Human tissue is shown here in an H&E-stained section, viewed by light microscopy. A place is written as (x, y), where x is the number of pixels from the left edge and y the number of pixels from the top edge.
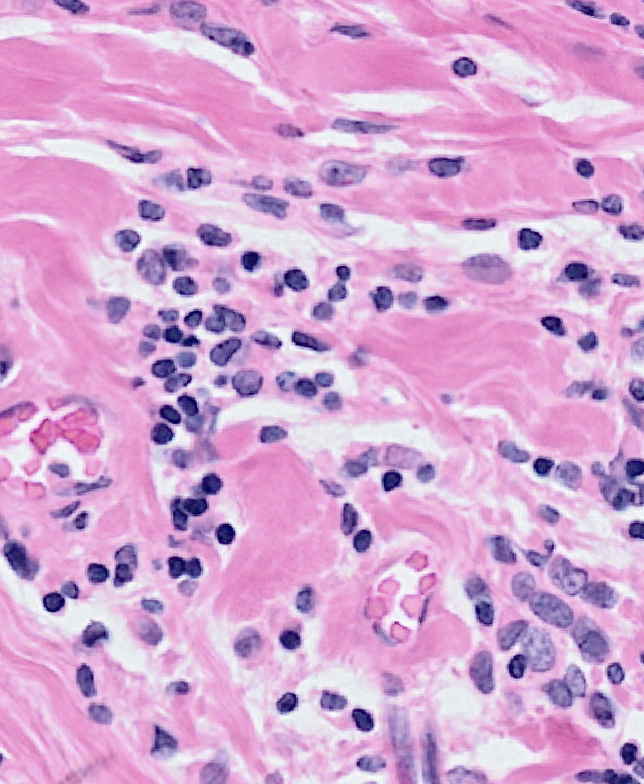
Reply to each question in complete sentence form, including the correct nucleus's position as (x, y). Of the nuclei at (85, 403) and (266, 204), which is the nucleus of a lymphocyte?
The nucleus located at (266, 204) is the one held within a lymphocyte.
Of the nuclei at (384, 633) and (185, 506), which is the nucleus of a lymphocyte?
Which one belongs to a lymphocyte? The nucleus at (185, 506) does.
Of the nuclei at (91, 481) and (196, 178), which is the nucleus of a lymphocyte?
That would be the nucleus at (196, 178); it belongs to a lymphocyte.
